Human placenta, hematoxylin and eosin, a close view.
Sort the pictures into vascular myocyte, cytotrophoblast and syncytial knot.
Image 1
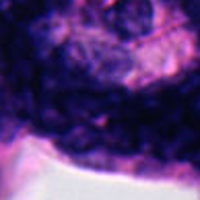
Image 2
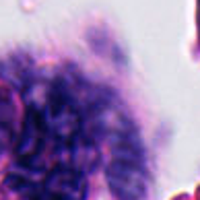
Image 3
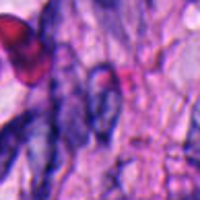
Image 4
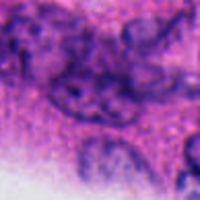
Syncytial knots: 1, 2
Vascular myocytes: 3
Cytotrophoblasts: 4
